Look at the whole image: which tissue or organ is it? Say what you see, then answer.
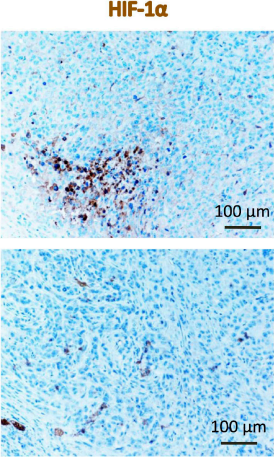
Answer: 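Sheets of densely packed cells with no normal glandular organization. Crowded oval to spindle-shaped nuclei counterstained blue. So: tumor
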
